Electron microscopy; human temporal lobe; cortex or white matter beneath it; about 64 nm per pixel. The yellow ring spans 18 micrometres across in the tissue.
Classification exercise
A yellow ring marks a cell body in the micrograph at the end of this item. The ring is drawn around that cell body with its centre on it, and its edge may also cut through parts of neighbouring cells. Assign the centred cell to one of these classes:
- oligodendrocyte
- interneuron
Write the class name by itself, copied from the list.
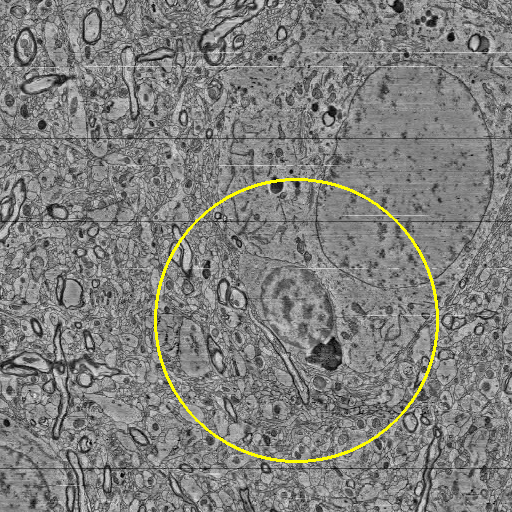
oligodendrocyte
